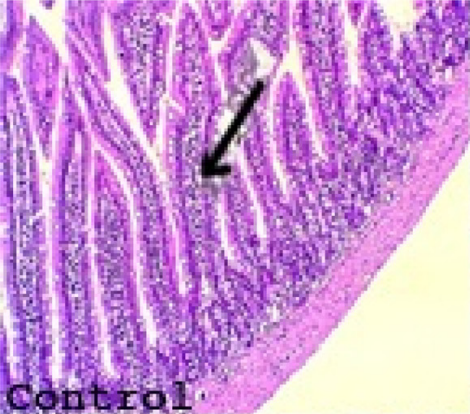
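This is a section through the intestinal wall, with long, slender villi standing side by side and reaching toward the lumen. Each villus is covered by a densely nucleated purple epithelium around a narrow core, and the villi are separated by thin clear spaces. Along the lower right edge runs a pinker band of smooth muscle beneath the mucosa. The villous pattern looks regular and intact.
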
